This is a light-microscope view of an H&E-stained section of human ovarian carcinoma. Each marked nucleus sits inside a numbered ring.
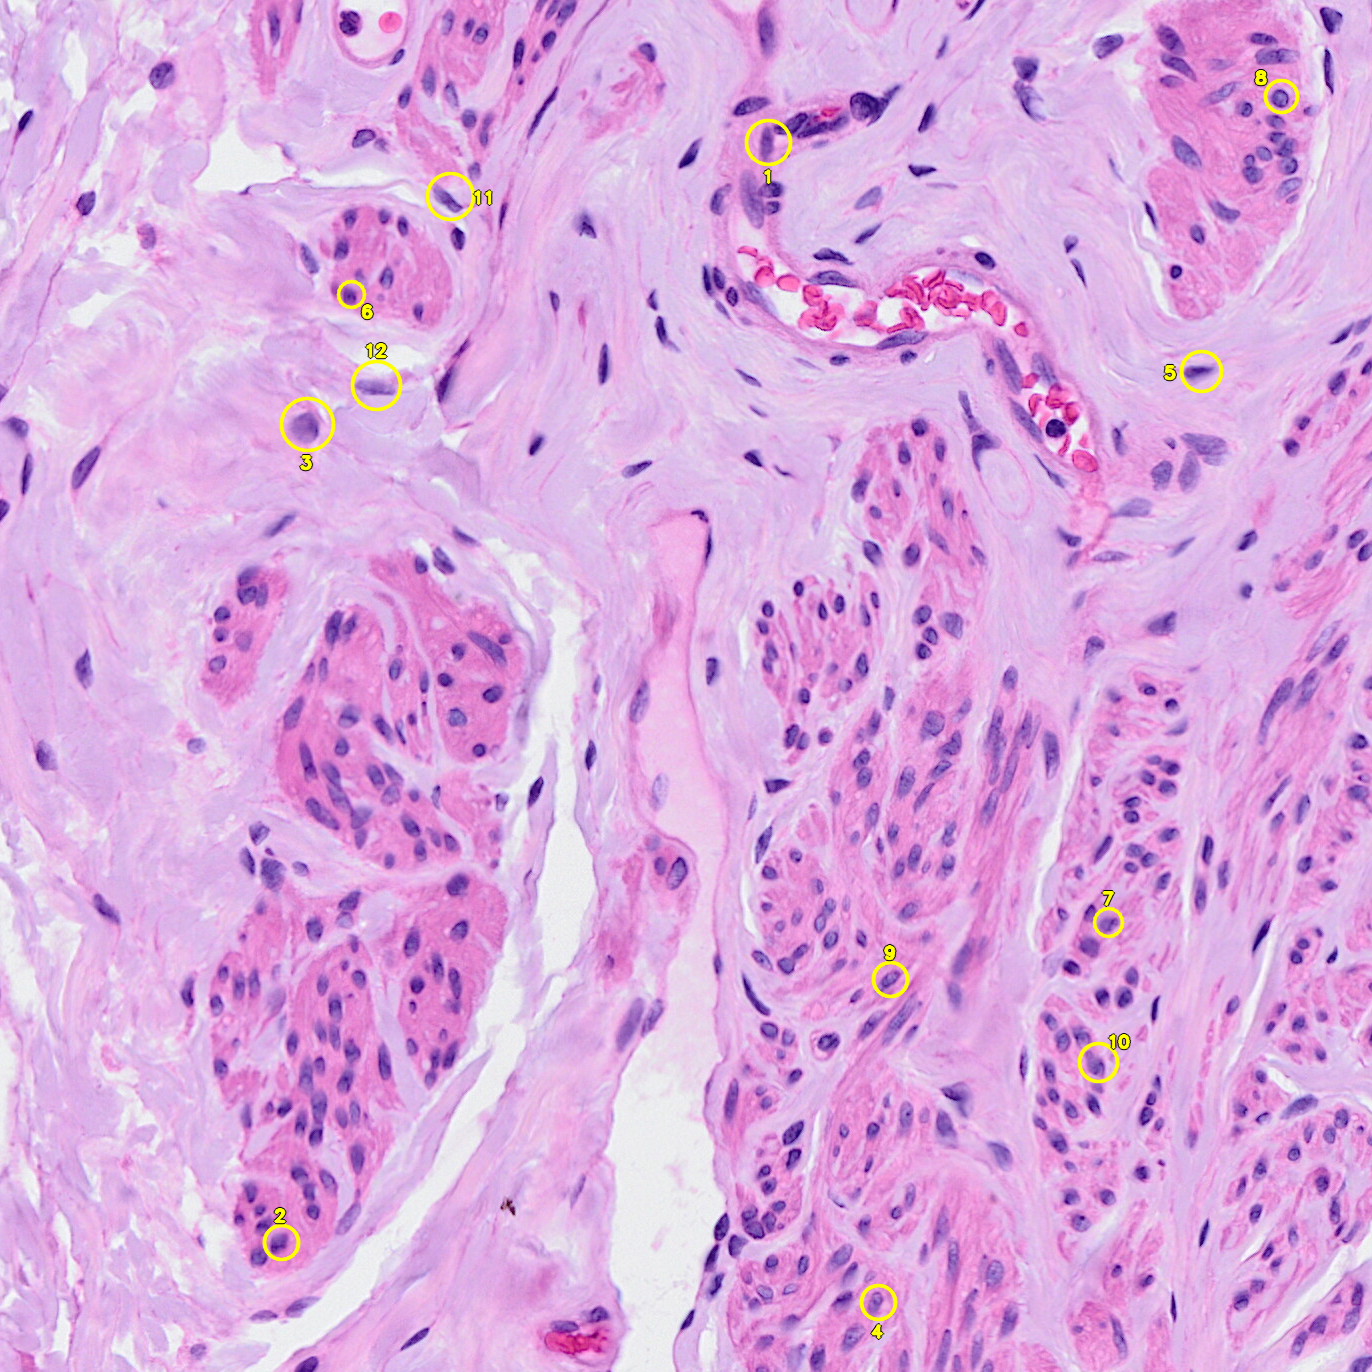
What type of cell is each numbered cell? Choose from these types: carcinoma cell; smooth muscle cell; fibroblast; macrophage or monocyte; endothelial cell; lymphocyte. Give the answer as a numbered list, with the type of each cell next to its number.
1. endothelial cell
2. smooth muscle cell
3. fibroblast
4. smooth muscle cell
5. fibroblast
6. smooth muscle cell
7. smooth muscle cell
8. smooth muscle cell
9. smooth muscle cell
10. smooth muscle cell
11. fibroblast
12. fibroblast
